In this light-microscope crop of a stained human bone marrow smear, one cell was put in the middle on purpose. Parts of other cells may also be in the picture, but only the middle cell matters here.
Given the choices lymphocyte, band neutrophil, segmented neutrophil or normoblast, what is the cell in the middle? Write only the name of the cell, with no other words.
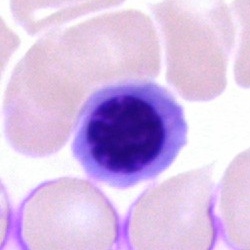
normoblast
